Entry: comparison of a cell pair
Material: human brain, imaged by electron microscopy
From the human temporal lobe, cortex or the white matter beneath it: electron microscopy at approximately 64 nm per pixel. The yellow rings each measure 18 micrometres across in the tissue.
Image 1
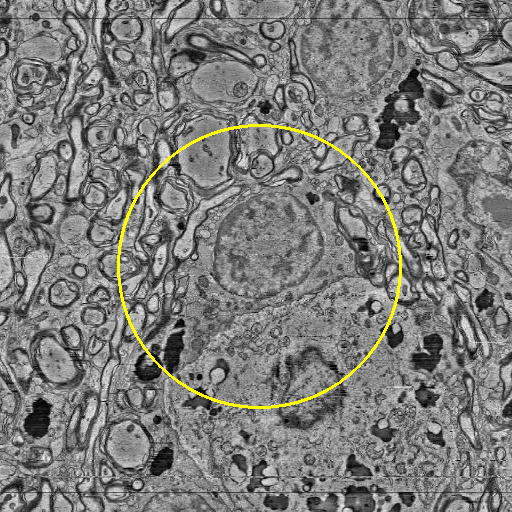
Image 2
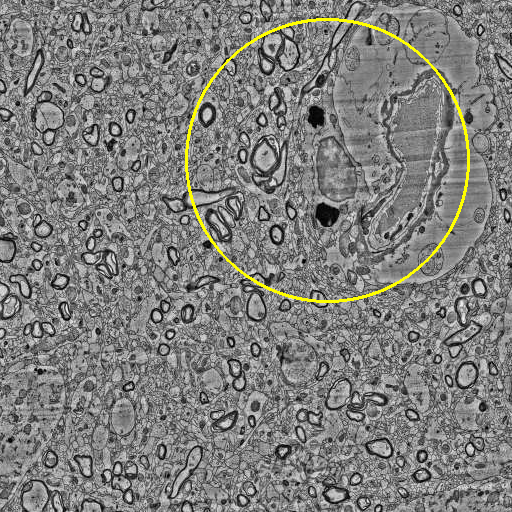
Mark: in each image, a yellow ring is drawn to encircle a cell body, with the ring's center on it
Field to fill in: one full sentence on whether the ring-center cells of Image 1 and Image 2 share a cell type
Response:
Yes, Image 1 and Image 2 each show a ring-center cell of one shared type.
